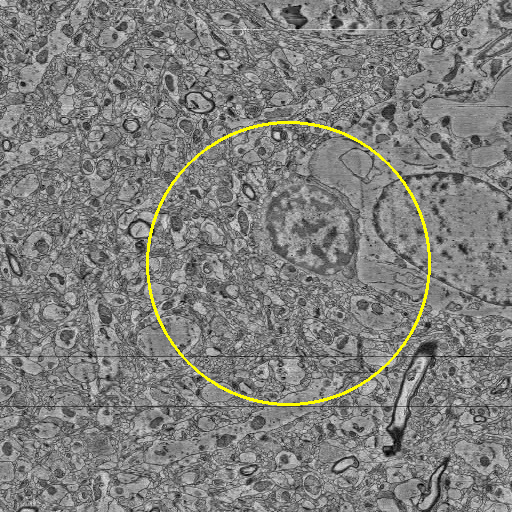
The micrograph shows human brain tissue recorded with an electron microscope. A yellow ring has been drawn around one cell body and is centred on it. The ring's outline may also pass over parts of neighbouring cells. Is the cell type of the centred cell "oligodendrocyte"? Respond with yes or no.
yes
